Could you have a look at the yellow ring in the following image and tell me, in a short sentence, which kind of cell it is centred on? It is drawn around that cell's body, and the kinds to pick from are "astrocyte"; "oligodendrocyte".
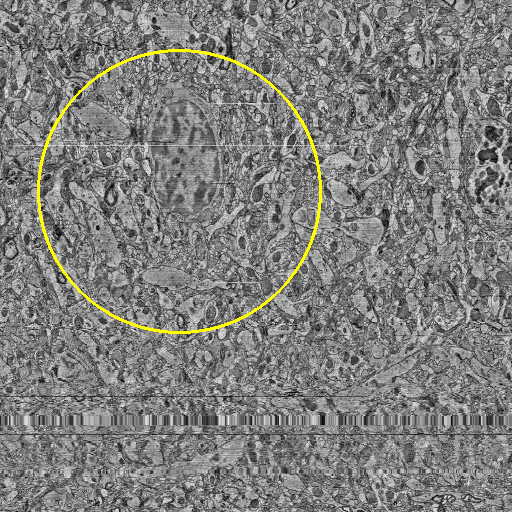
The ring is centred on the body of an oligodendrocyte.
